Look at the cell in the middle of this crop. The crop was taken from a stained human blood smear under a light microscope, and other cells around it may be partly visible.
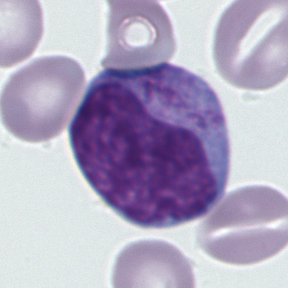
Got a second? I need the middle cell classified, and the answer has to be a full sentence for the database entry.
The identification for the central cell is a promyelocyte.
